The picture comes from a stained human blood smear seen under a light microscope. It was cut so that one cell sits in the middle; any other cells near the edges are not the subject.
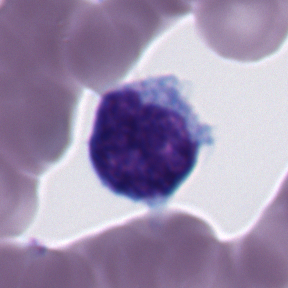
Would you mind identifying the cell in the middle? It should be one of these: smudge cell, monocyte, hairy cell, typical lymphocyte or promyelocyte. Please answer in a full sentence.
The center cell of this crop is a typical lymphocyte.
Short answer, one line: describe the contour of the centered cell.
Irregular and not smooth, the cell boundary is ragged or drawn out into projections.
